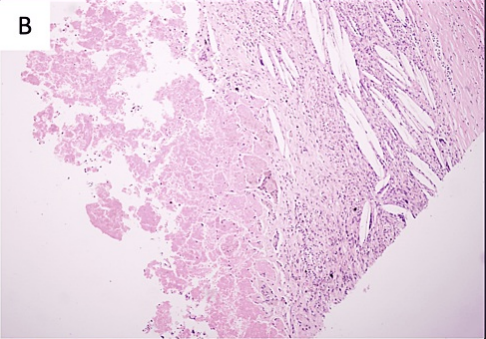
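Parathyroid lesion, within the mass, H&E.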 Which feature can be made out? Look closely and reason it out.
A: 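Many elongated, needle-shaped empty spaces at the right side.
Conclusion: cholesterol clefts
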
